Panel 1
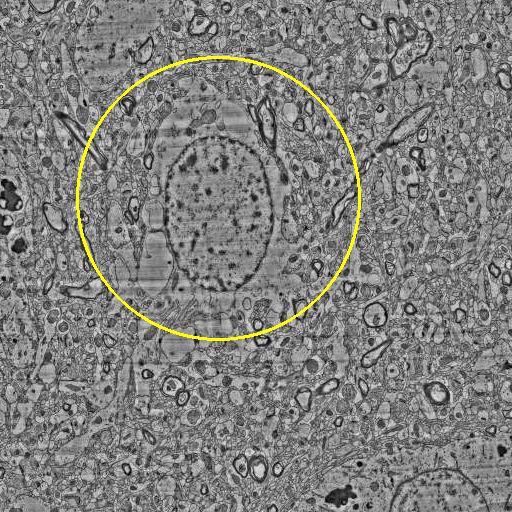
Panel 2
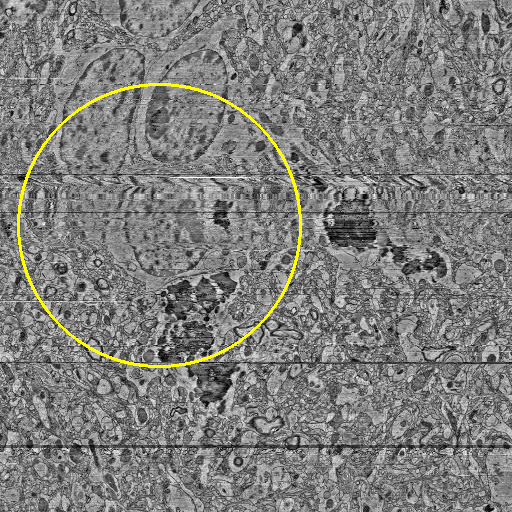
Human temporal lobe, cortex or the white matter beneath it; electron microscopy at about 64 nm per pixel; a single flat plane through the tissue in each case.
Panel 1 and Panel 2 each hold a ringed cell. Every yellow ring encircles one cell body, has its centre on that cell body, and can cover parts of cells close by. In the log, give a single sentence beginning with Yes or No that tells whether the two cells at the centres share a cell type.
Yes, in Panel 1 and Panel 2 the centred cells share a cell type.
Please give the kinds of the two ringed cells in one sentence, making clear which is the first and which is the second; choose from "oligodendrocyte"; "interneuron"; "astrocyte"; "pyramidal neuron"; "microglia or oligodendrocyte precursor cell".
Both cells are the same kind, each one being an astrocyte.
